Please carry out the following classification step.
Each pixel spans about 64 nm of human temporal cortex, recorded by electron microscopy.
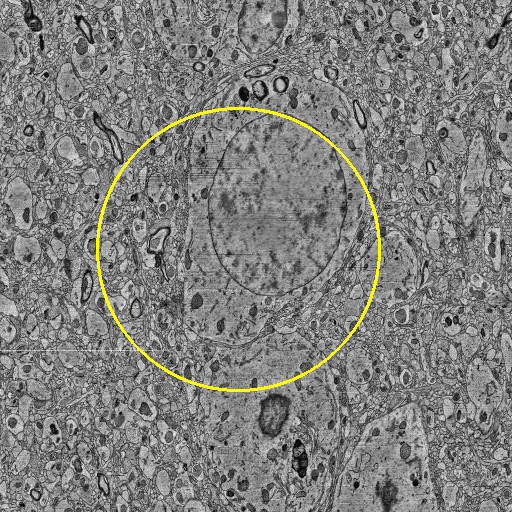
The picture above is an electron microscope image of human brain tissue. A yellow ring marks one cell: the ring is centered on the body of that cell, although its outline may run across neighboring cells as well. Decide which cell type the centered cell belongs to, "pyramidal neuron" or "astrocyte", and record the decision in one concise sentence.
The cell centered in the yellow ring is a pyramidal neuron.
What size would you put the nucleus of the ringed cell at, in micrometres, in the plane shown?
The nucleus comes to roughly 12 by 9 micrometres in this plane.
